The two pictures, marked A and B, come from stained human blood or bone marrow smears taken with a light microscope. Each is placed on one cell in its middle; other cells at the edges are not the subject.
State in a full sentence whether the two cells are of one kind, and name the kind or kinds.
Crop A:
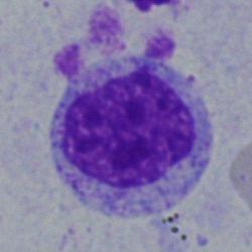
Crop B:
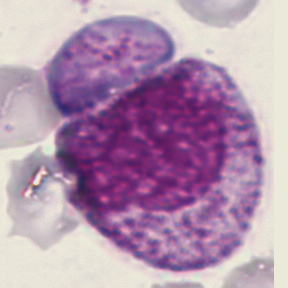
Yes, myelocytes are centred in both crops.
